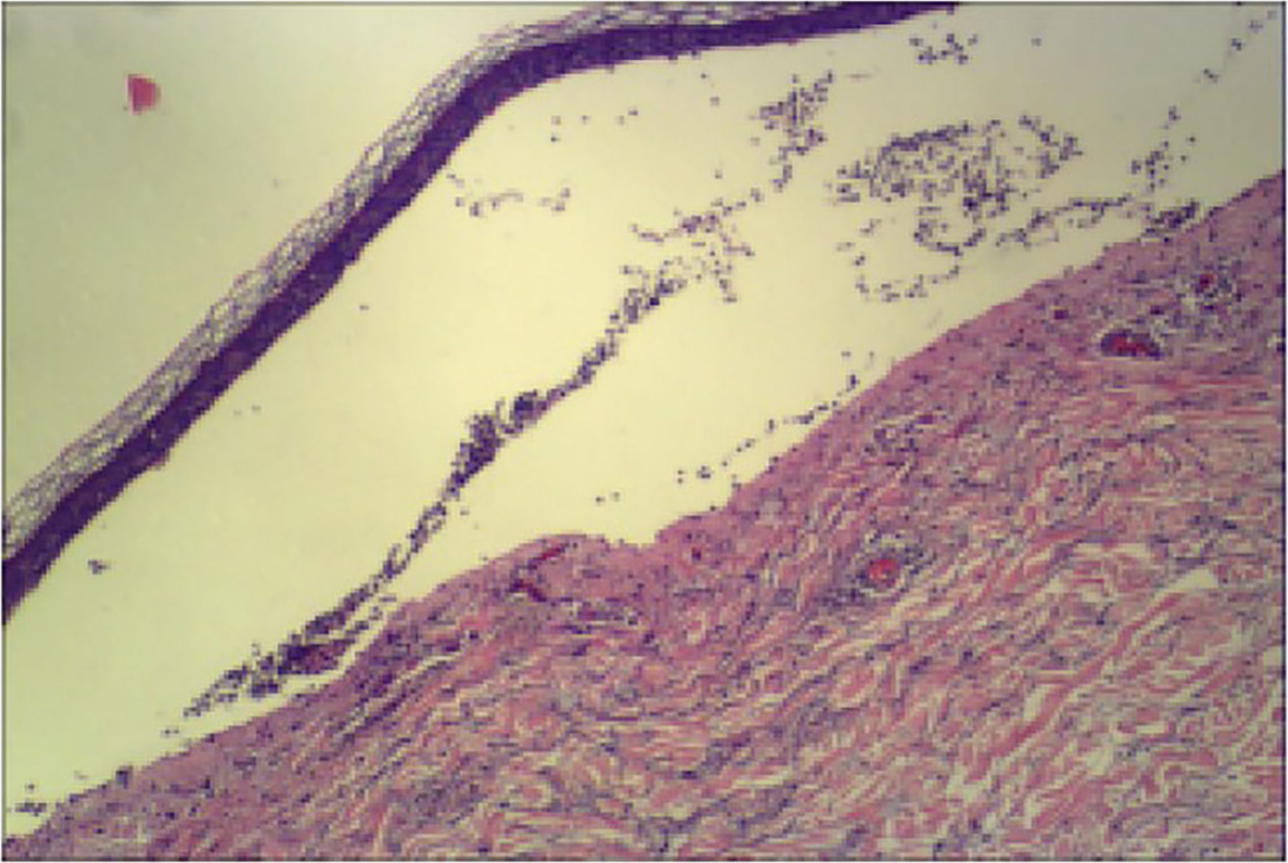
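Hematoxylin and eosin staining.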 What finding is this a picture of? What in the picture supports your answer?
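Subepidermal blister. A thin, dark purple epidermal layer lies separated from the underlying tissue at the upper left. A wide clear space lies between the detached epidermis and the pink dermis. The pink fibrous dermis forms the floor of the space, with no epidermis on it.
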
